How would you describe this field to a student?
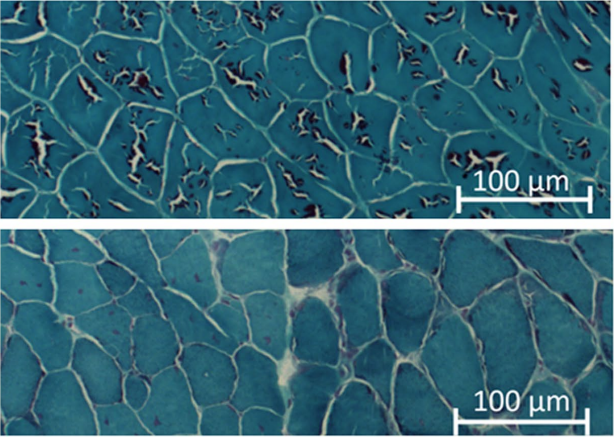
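Two cross-sections of skeletal muscle show polygonal muscle fibers stained blue-green and separated by pale endomysium. In the lower image, the fibers stain evenly, with only a few small dark dots at their edges. Fiber sizes vary in both images.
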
